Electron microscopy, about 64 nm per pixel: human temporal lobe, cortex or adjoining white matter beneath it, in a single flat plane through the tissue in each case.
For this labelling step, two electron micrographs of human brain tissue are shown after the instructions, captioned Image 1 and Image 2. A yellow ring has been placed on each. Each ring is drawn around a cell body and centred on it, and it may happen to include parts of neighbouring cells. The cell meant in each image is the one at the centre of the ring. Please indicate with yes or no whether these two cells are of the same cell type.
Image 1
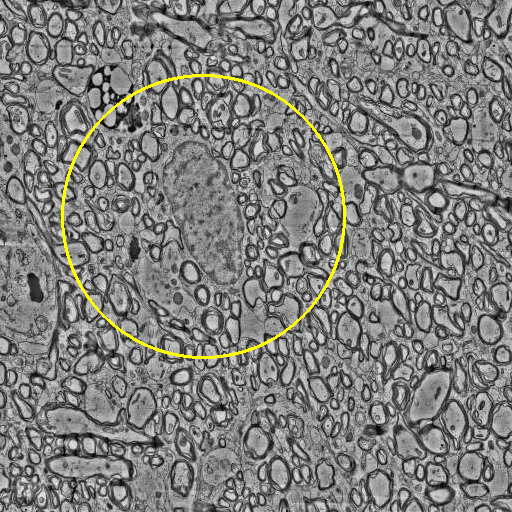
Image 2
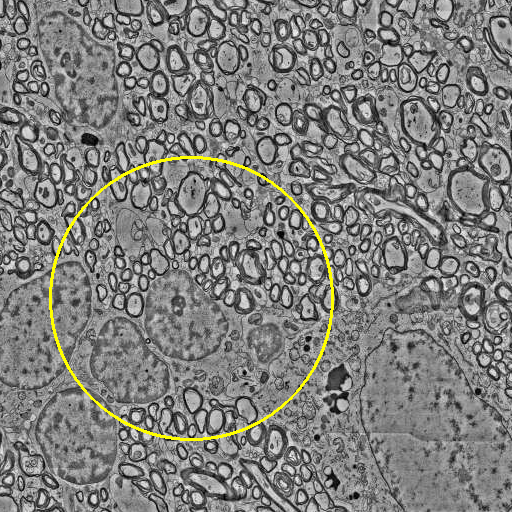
yes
